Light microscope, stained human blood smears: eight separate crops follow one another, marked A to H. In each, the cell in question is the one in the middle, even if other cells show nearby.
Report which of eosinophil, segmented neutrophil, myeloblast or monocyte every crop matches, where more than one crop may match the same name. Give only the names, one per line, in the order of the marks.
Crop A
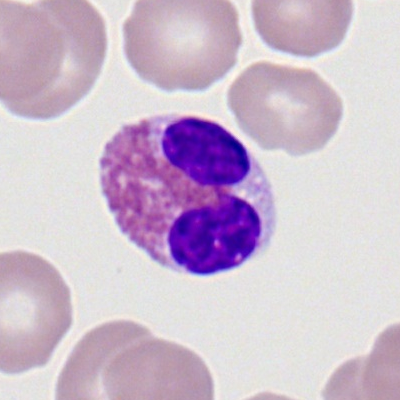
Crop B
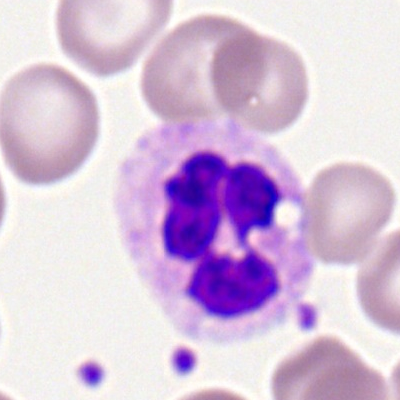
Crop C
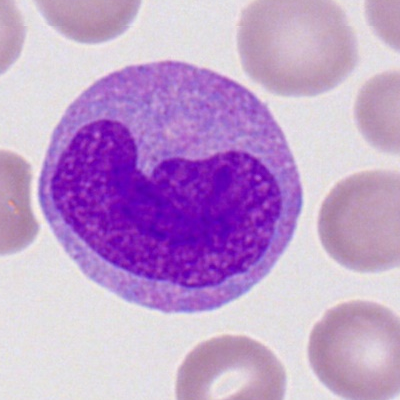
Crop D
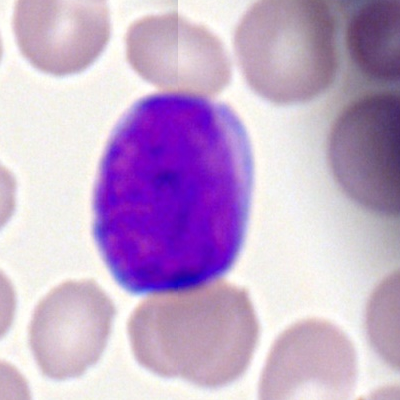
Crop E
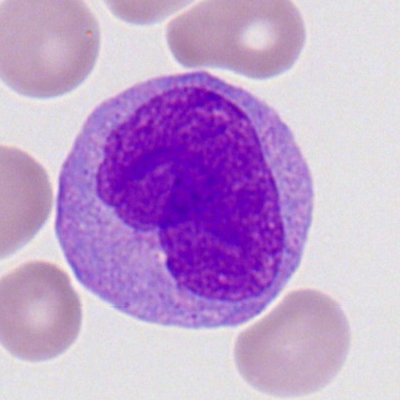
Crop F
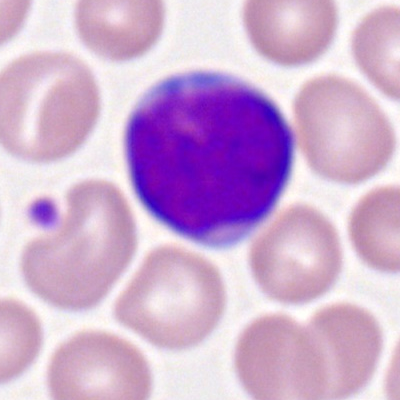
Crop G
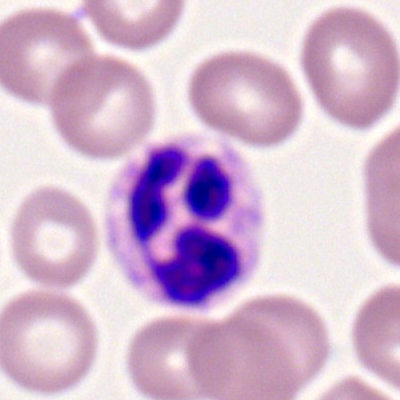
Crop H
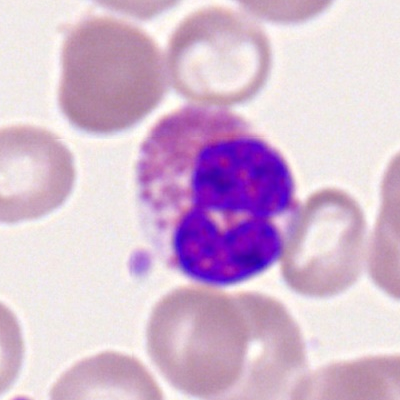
eosinophil
segmented neutrophil
monocyte
myeloblast
myeloblast
myeloblast
segmented neutrophil
eosinophil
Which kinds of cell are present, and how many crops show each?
myeloblast: 3
eosinophil: 2
segmented neutrophil: 2
monocyte: 1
